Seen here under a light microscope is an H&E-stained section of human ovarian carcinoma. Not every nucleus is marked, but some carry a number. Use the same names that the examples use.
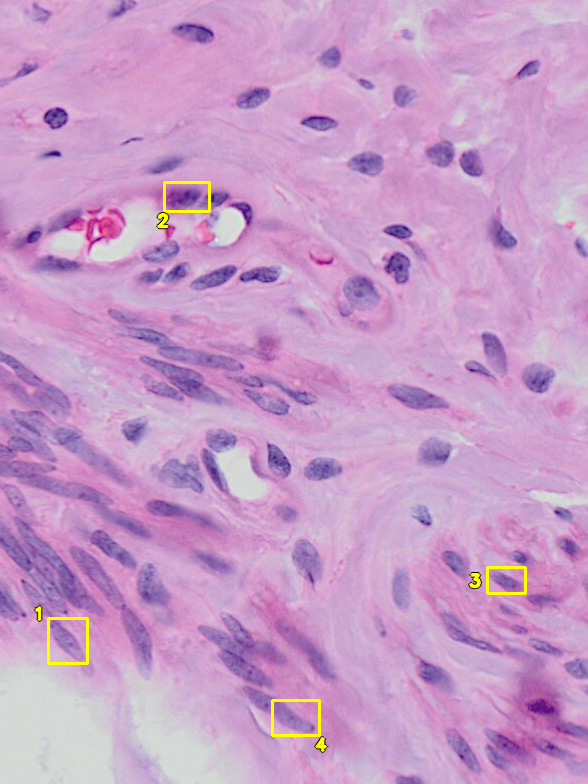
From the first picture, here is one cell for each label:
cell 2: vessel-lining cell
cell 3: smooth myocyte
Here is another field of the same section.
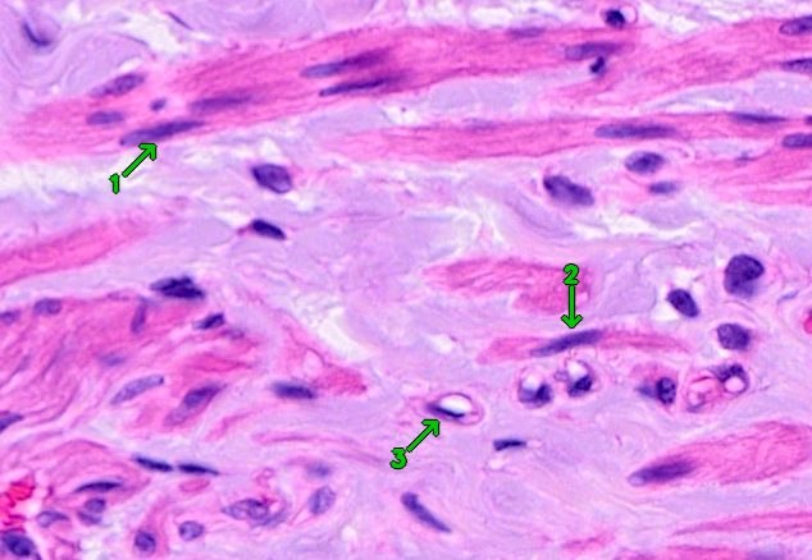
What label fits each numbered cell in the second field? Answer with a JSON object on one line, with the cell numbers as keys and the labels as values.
{"1": "smooth myocyte", "2": "smooth myocyte", "3": "vessel-lining cell"}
